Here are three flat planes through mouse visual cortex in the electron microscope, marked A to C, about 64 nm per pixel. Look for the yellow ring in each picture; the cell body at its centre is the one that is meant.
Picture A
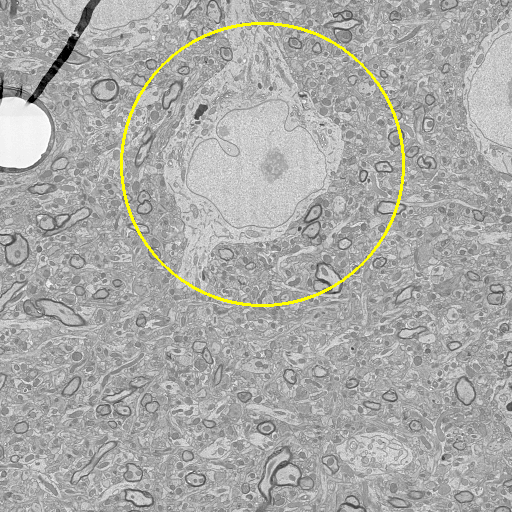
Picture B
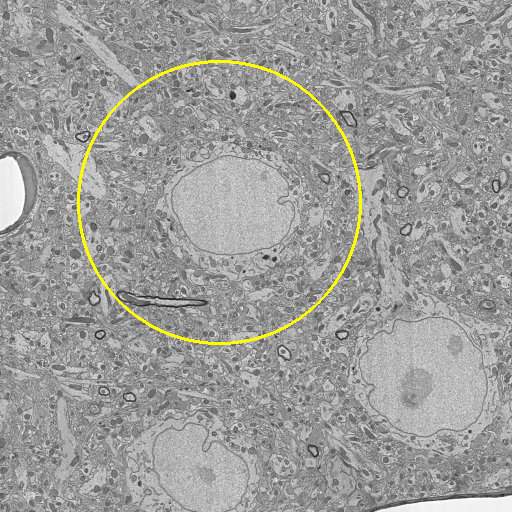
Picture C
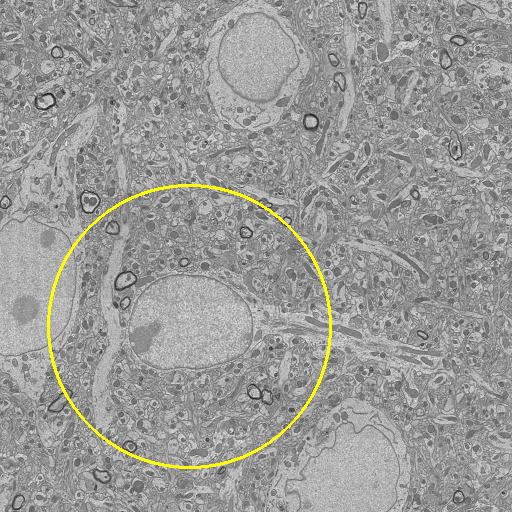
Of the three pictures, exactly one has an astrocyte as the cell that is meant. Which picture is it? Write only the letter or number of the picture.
C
